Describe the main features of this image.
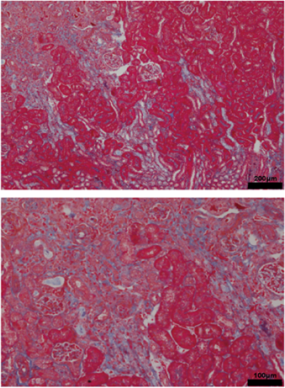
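This is kidney tissue stained with trichrome: tubules appear red and fibrous tissue appears blue. Wide bands and patches of blue-stained material run through the interstitium between the tubules. Many tubules in these areas look irregular and set apart from one another. A few round glomeruli can be made out among the tubules. This blue-rich interstitium is the picture of tubulointerstitial fibrosis.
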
